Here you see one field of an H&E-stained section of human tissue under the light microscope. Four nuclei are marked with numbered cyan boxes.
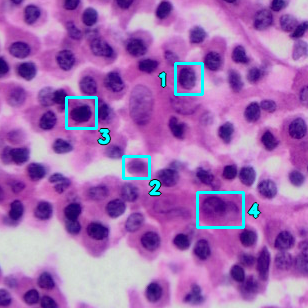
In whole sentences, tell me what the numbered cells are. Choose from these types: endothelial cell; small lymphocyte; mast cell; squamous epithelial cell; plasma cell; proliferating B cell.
Cells 1, 2 and 3 are plasma cells. Cell 4 is a squamous epithelial cell.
